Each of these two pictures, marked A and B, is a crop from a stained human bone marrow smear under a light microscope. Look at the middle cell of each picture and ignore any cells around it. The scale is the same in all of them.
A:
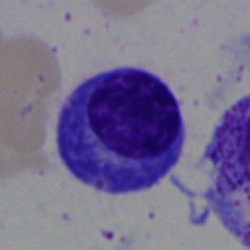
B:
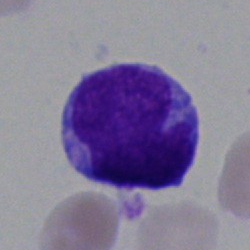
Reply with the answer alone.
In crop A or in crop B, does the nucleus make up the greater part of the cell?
B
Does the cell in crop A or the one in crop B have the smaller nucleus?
A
